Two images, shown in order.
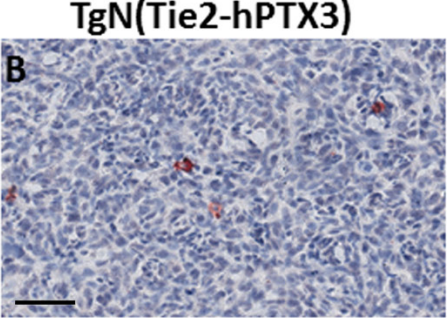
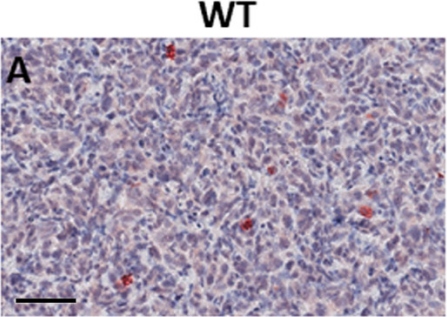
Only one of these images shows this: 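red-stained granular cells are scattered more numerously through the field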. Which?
the second image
